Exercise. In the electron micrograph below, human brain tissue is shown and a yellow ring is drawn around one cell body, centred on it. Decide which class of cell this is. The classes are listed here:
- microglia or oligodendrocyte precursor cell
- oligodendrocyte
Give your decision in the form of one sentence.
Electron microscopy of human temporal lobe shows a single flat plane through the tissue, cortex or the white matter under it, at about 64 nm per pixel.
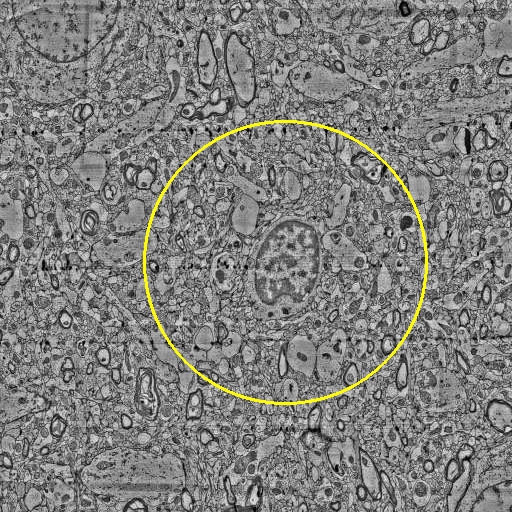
The cell body marked by the ring belongs to an oligodendrocyte.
